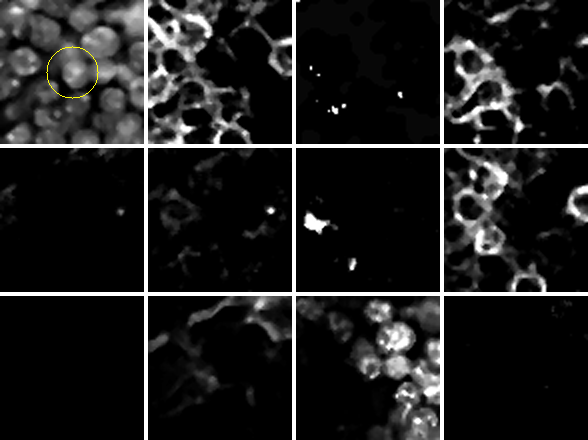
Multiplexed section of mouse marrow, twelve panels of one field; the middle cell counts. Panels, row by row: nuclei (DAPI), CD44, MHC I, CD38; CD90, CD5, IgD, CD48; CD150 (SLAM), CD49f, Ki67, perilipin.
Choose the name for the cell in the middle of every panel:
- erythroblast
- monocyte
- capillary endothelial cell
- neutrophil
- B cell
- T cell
erythroblast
